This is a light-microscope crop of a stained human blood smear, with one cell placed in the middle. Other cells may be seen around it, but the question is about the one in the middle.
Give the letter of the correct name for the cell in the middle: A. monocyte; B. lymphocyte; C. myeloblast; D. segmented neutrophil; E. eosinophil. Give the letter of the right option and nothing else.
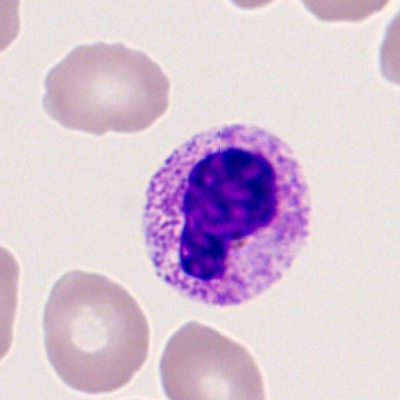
D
